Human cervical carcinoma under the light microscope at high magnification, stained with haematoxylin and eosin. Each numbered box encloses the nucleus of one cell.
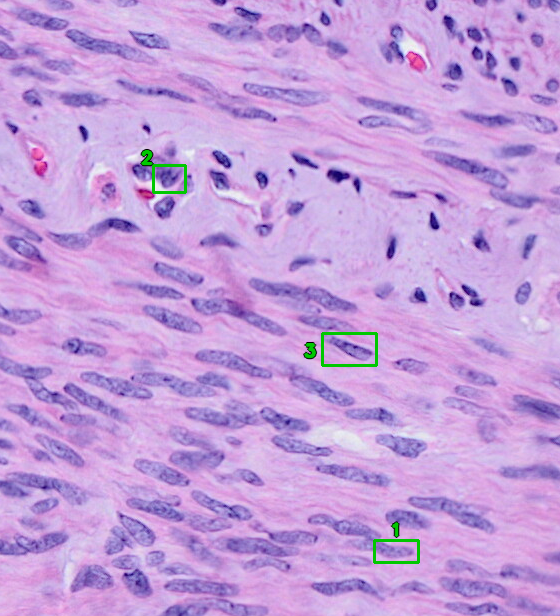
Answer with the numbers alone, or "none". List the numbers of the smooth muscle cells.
1, 3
